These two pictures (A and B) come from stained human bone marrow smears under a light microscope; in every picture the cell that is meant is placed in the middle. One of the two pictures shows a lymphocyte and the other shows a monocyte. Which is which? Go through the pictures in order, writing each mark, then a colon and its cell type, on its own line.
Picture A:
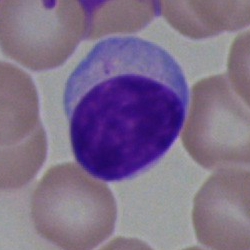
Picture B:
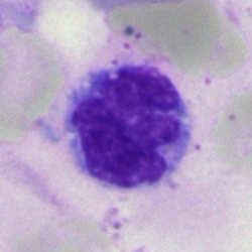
A: lymphocyte
B: monocyte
